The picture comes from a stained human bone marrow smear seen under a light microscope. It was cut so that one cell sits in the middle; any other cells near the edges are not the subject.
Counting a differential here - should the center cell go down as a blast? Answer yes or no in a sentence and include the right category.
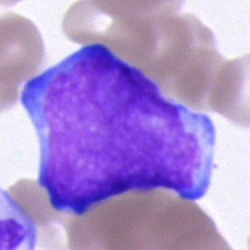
Yes, that is a blast in the middle of the crop.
